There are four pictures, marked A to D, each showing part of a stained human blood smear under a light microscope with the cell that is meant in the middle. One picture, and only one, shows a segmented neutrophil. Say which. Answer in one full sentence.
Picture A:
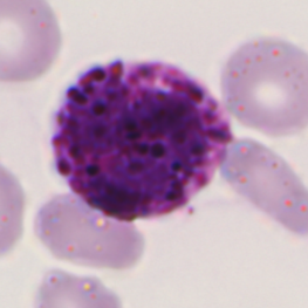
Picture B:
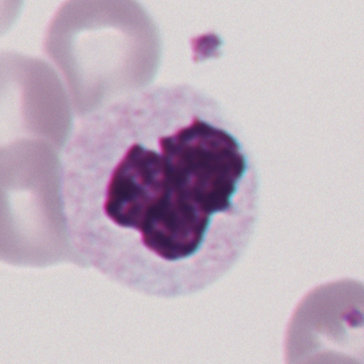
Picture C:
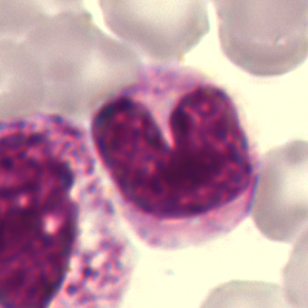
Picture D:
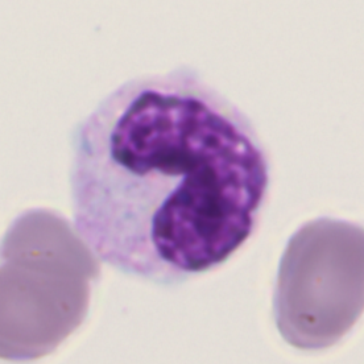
Picture B is the one that shows the segmented neutrophil.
